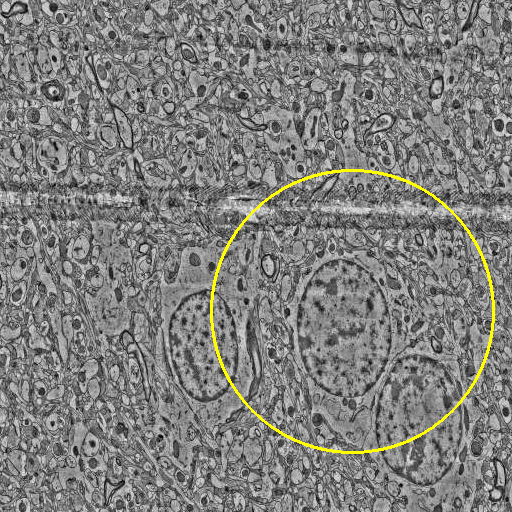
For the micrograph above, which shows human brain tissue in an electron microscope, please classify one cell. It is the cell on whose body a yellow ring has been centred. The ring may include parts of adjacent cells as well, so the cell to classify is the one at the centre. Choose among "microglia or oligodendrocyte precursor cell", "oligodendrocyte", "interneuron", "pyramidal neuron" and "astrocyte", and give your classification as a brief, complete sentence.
I classify this cell as an astrocyte.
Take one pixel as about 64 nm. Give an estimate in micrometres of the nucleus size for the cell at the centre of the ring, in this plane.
Approximately 9 by 6 micrometers in this plane.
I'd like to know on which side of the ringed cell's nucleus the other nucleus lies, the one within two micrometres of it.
The other one lies to the lower right of it.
